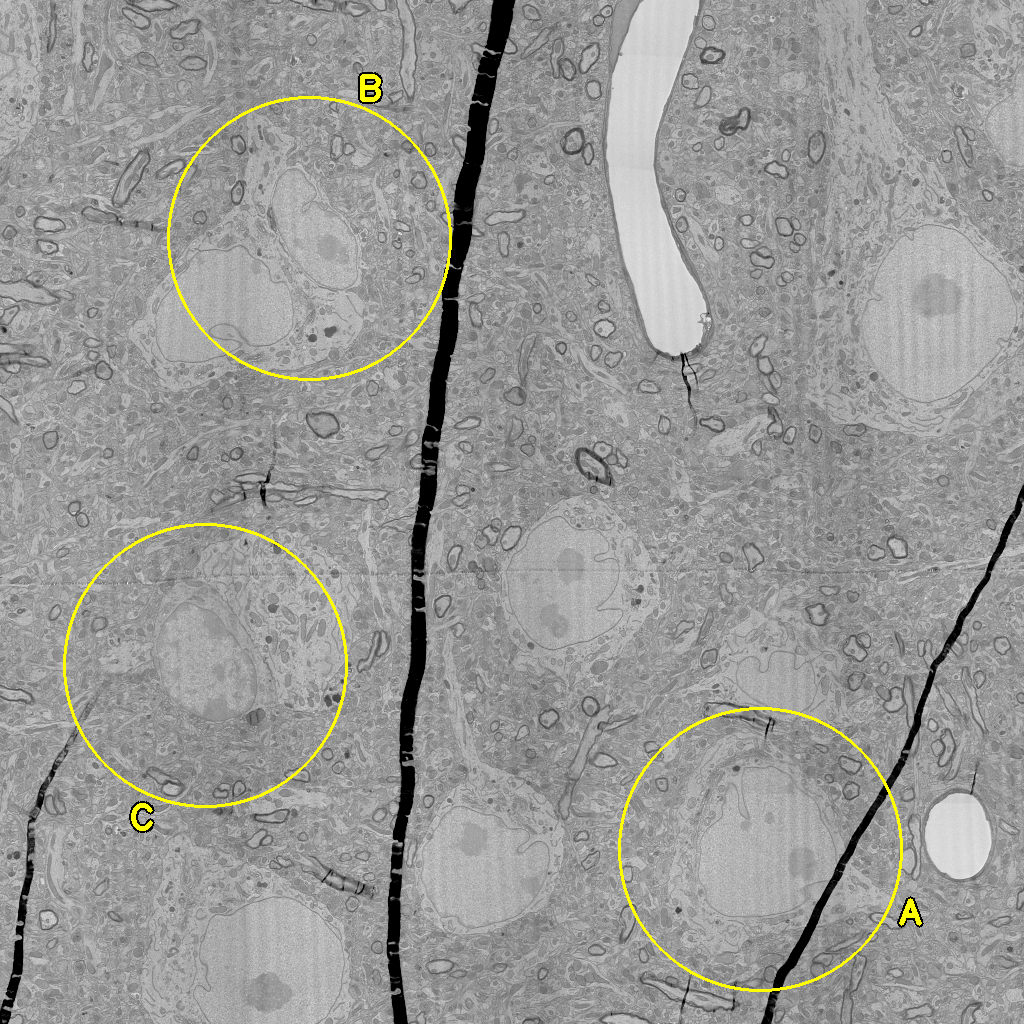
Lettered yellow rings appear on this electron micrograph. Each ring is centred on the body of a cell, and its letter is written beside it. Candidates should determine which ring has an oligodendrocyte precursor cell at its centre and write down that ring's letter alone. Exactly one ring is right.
B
